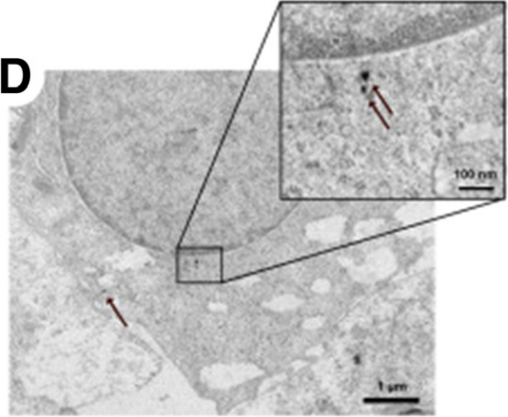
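Part of a cell is seen with a large rounded nucleus at the top and cytoplasm below containing many pale, irregular vacuoles. In the enlarged view, a few tiny, very dense black dots lie in the granular cytoplasm just outside the nuclear envelope.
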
